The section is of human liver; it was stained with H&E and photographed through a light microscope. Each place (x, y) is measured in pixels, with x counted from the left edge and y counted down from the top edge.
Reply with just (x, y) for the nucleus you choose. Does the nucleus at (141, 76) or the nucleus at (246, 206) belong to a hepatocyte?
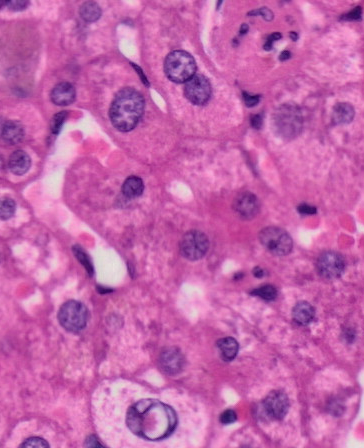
(246, 206)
